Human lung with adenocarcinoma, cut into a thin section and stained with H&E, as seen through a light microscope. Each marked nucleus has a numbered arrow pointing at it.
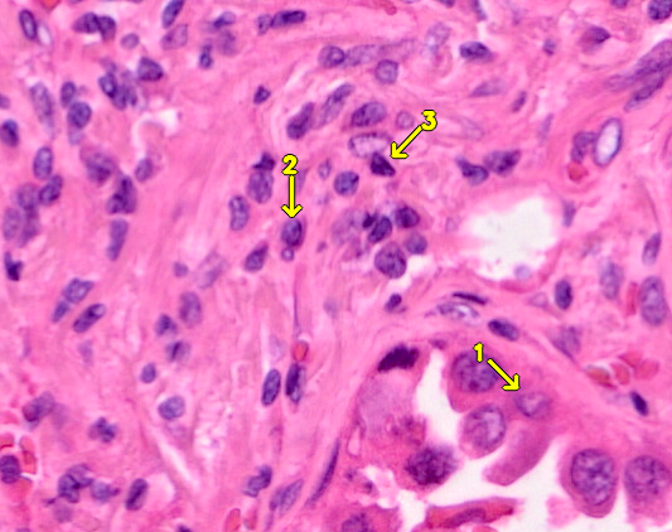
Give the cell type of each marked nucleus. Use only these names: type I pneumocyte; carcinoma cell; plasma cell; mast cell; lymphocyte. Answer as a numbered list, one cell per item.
1. carcinoma cell
2. plasma cell
3. lymphocyte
